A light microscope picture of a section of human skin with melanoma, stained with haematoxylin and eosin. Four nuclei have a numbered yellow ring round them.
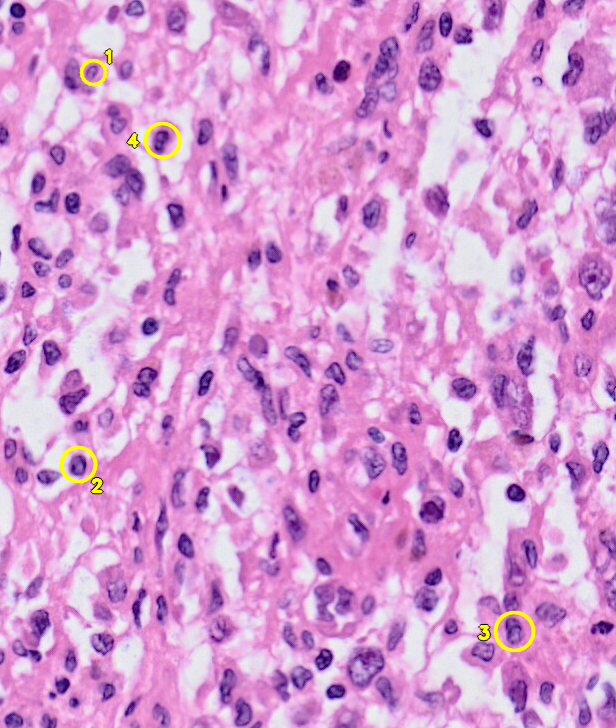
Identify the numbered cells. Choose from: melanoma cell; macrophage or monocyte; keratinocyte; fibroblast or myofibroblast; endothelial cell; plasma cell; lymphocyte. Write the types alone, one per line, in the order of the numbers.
macrophage or monocyte
lymphocyte
macrophage or monocyte
macrophage or monocyte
